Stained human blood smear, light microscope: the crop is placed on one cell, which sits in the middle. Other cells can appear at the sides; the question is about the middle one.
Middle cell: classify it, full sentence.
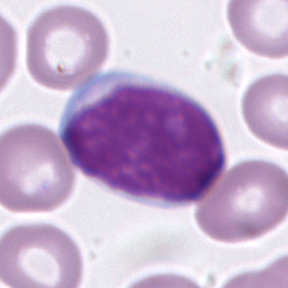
The centrally positioned cell in the crop represents a typical lymphocyte.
